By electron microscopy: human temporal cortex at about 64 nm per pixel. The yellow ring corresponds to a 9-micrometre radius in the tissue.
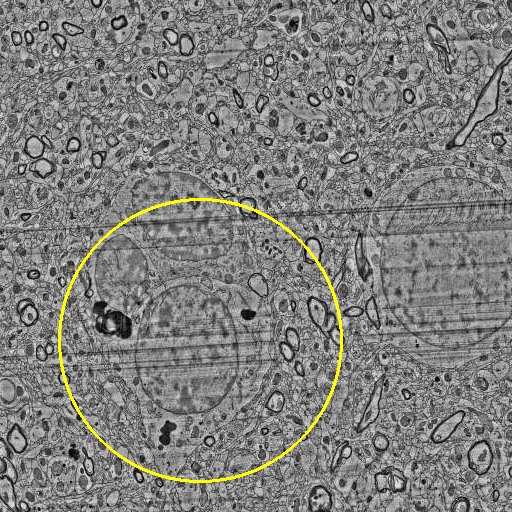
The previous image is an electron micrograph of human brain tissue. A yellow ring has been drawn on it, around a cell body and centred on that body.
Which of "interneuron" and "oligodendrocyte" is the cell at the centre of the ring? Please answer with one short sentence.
The cell body at the centre of the ring belongs to an interneuron.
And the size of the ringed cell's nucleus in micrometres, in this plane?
In this plane the nucleus measures roughly 8 by 7 micrometers.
